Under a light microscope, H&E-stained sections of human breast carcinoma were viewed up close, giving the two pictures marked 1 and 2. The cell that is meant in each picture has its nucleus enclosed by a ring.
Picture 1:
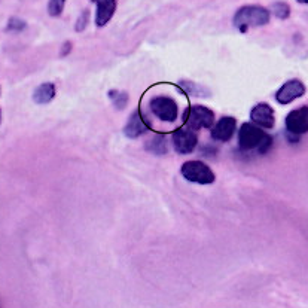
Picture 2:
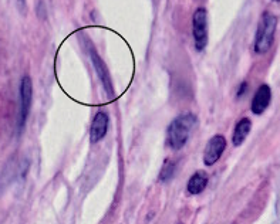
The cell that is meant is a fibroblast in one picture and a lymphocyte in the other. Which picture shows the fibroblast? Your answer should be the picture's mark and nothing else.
2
